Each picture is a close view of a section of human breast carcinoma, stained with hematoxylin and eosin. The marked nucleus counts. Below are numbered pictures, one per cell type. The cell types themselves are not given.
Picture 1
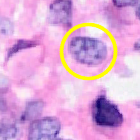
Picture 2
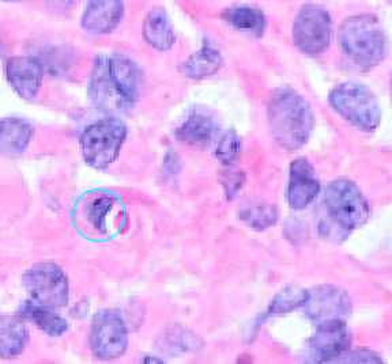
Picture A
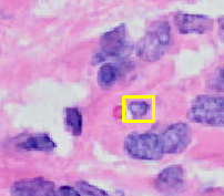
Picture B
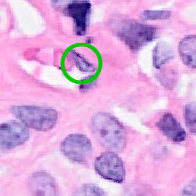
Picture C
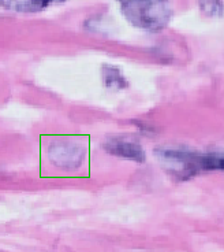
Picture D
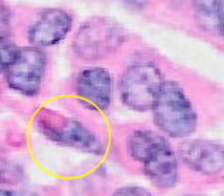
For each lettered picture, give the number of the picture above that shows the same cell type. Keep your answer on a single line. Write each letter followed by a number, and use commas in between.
A 2, B 2, C 2, D 2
